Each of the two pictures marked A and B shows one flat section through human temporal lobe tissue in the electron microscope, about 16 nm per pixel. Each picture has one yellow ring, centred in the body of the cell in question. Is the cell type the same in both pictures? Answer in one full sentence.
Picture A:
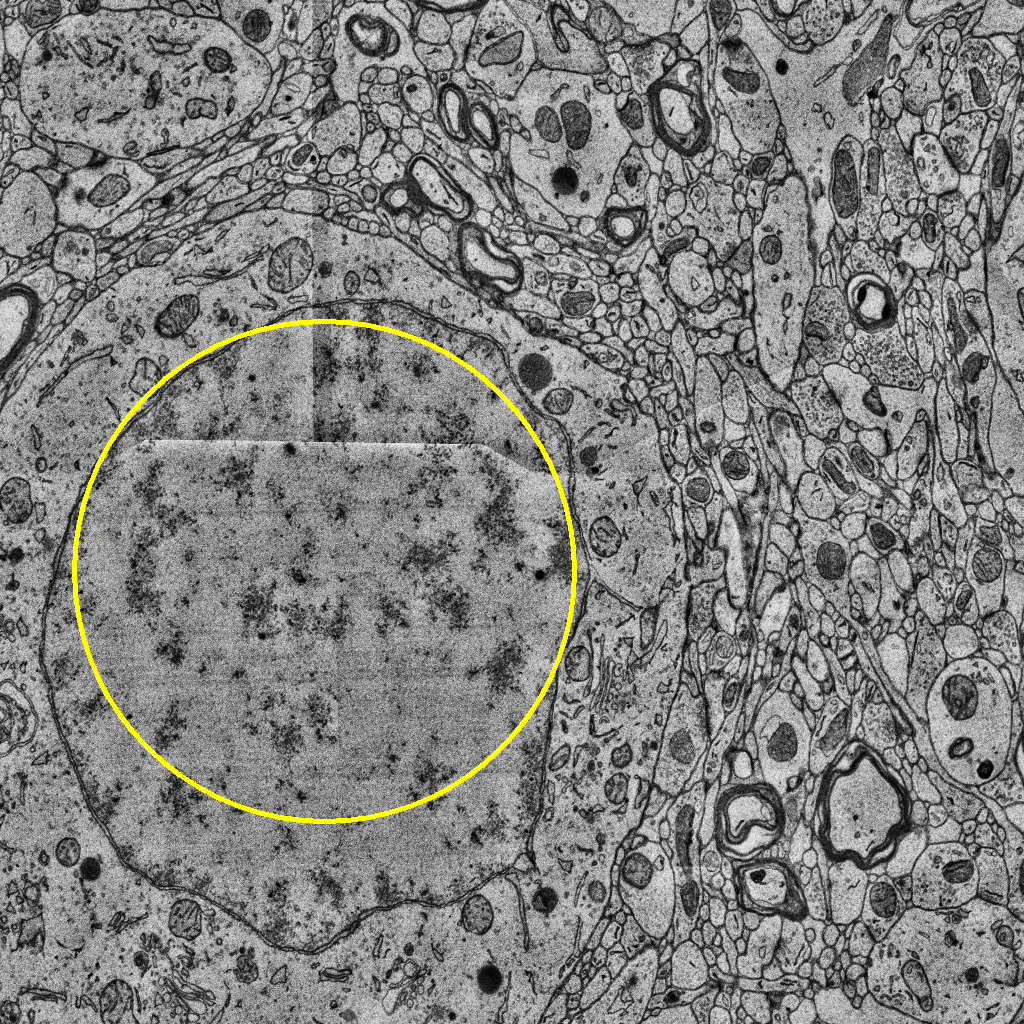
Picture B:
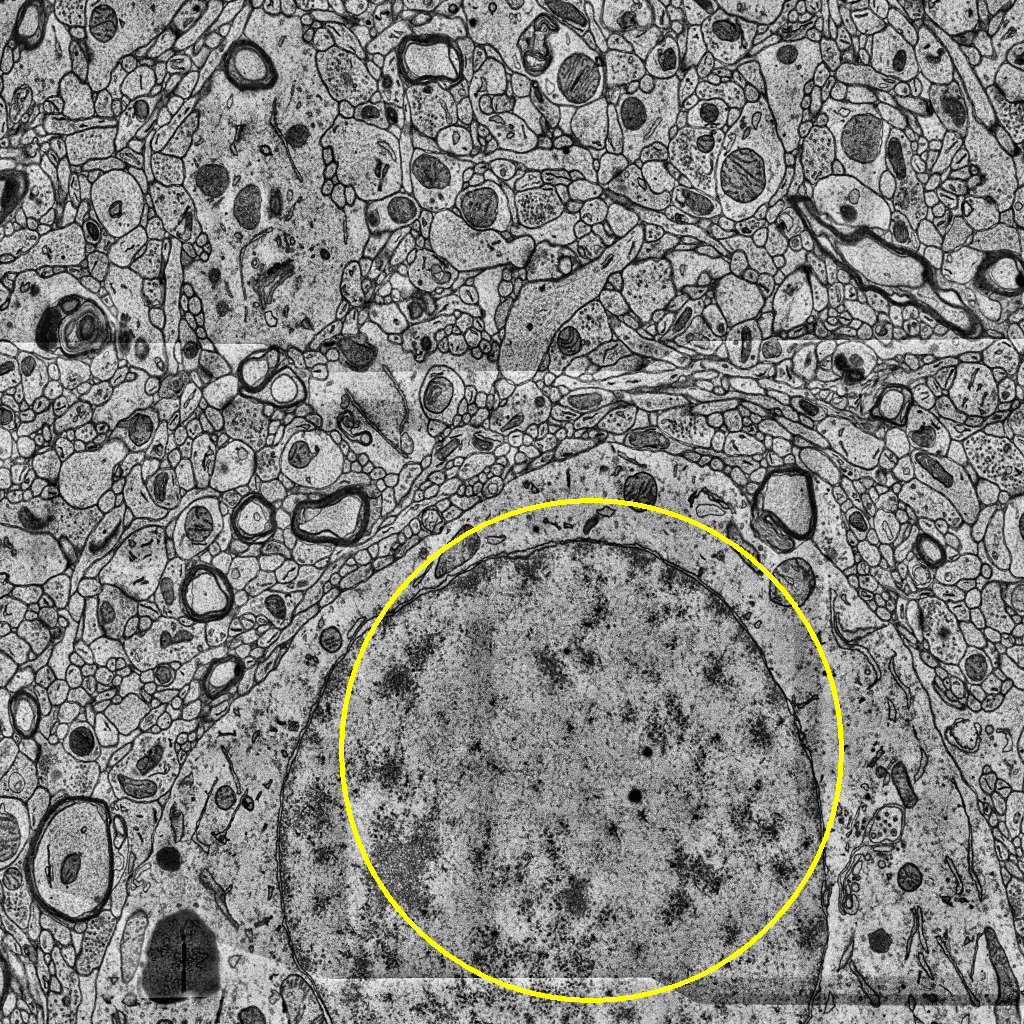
No, the types are not the same, since picture A shows a pyramidal neuron and picture B an interneuron.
